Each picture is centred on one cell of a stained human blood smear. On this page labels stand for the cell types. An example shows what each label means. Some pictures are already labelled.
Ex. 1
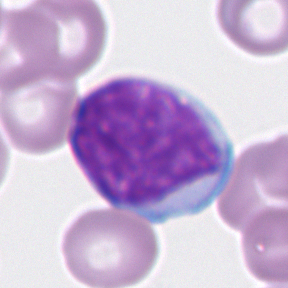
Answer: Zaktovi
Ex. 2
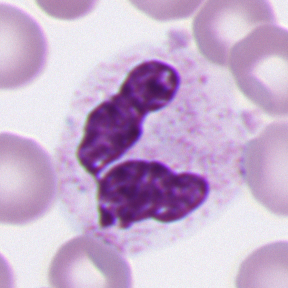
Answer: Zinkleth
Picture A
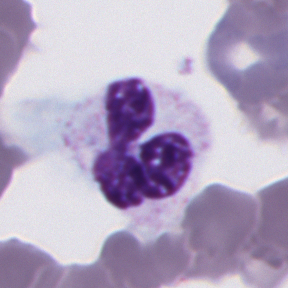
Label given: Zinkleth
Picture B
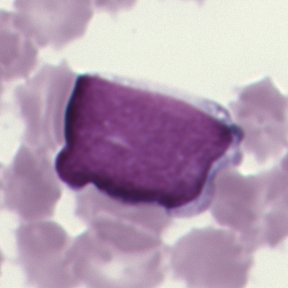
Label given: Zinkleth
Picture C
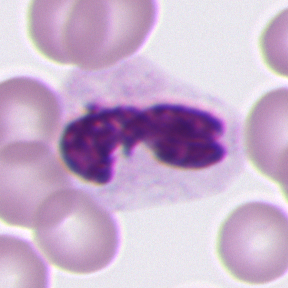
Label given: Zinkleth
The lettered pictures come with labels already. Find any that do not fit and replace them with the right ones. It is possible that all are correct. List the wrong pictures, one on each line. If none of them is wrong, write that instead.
B: change Zinkleth to Zaktovi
